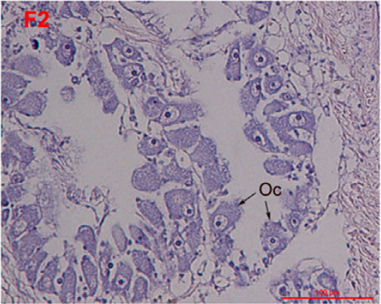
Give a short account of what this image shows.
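A section of ovary in which oocytes are attached along the wall of a follicle and project into its largely empty lumen. The oocytes are large, rounded to pear-shaped cells with pale lilac, finely granular cytoplasm and a round nucleus holding a dark nucleolus. Loose, pale connective tissue lies outside the follicle wall.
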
